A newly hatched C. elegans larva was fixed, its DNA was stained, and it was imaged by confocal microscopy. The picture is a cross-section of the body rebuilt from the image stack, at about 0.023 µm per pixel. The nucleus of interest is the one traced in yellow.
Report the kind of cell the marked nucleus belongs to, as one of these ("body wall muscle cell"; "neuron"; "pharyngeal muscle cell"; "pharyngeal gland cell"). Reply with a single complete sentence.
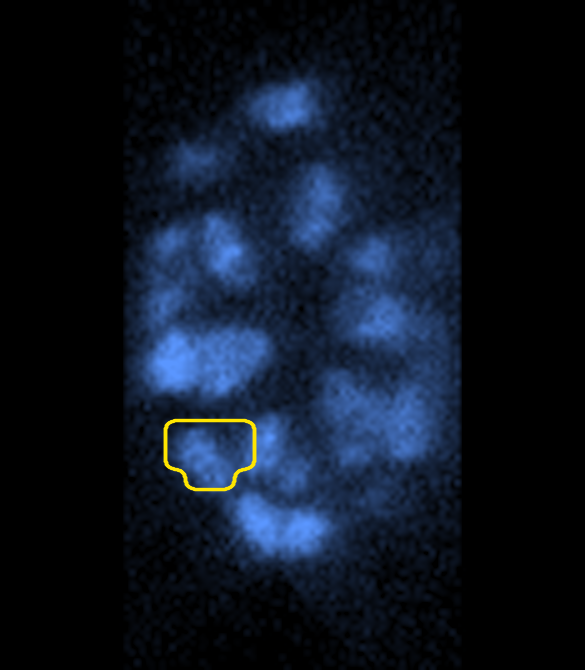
The cell with the marked nucleus is a body wall muscle cell.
